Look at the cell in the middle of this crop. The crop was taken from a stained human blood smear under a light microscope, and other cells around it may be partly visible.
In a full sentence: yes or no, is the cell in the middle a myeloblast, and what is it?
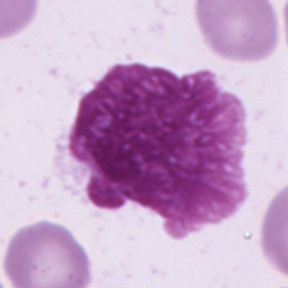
No; rather than a myeloblast, the cell at the center is a smudge cell.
